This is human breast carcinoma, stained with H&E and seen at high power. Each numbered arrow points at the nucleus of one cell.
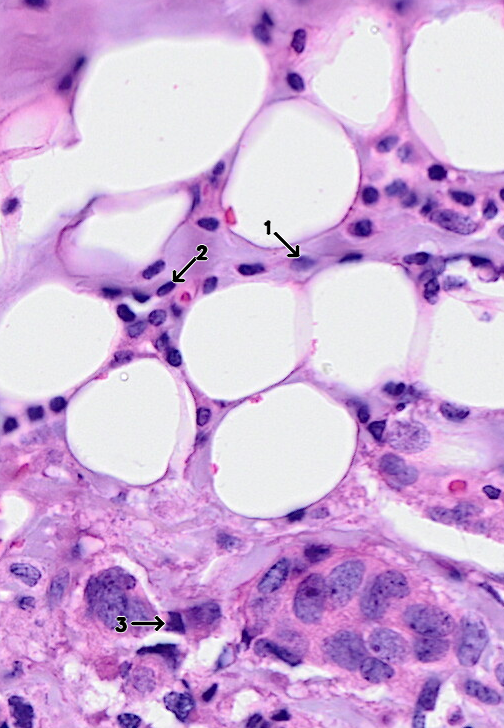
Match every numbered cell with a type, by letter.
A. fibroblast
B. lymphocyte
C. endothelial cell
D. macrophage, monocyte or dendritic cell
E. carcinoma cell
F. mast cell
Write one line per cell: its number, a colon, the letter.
1: A
2: B
3: E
